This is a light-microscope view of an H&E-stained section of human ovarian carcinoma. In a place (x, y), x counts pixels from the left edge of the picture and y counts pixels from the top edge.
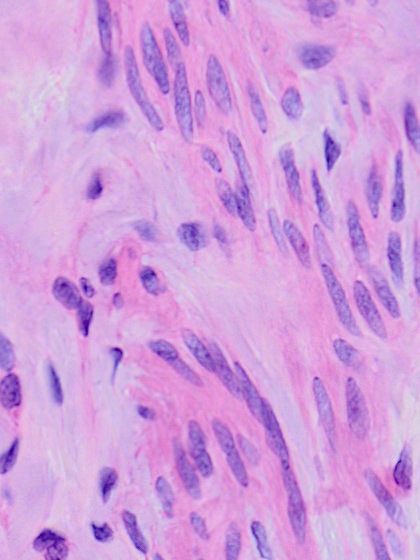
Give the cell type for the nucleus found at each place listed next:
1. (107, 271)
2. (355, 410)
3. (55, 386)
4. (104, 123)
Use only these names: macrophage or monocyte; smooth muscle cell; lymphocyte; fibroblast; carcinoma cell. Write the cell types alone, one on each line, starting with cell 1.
smooth muscle cell
smooth muscle cell
fibroblast
fibroblast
